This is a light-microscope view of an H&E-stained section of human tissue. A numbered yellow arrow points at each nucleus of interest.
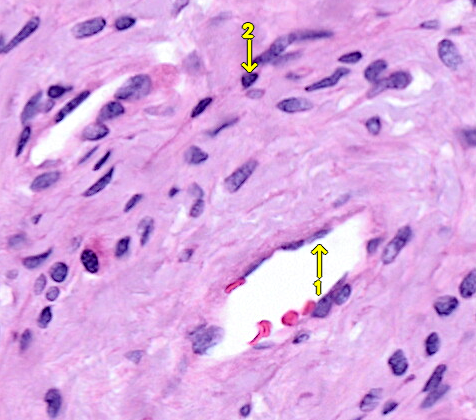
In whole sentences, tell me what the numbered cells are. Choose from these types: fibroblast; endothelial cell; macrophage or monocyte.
Cell 1 is an endothelial cell. Cell 2 is a fibroblast.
